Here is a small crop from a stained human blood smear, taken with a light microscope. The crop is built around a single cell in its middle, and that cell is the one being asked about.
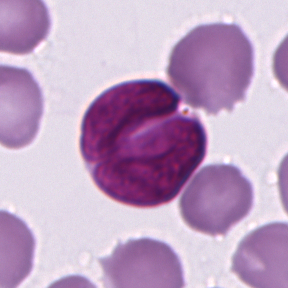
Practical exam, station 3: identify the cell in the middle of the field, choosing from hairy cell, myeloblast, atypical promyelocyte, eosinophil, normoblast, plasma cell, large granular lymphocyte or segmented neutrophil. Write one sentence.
The crop centres on a single cell, and that cell is a myeloblast.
